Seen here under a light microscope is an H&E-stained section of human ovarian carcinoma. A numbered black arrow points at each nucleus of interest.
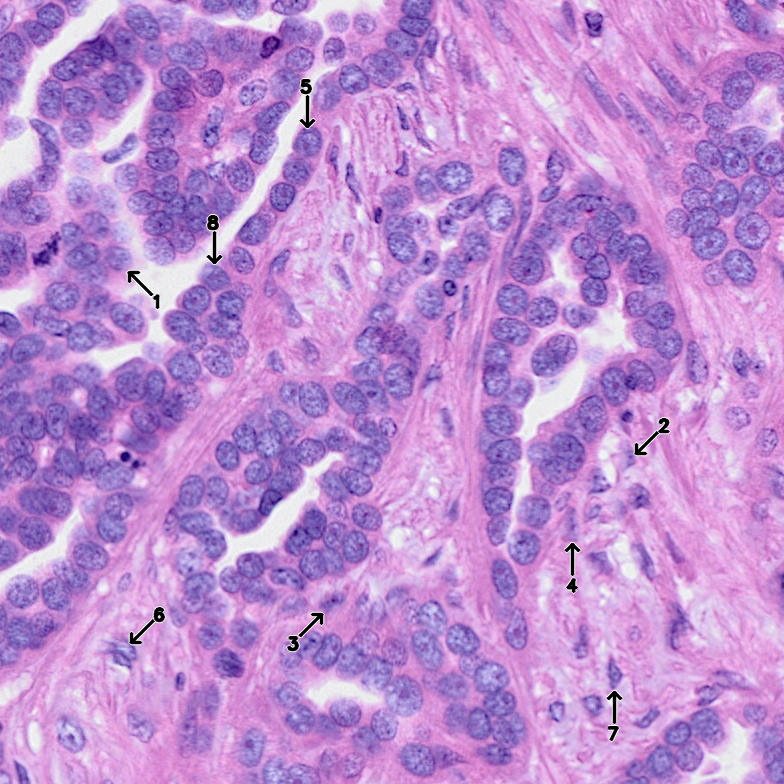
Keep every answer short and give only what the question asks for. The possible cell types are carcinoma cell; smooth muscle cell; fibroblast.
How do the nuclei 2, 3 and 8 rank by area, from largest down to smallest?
8, 3, 2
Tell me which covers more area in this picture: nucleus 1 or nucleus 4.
1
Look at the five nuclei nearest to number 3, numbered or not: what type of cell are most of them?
fibroblast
